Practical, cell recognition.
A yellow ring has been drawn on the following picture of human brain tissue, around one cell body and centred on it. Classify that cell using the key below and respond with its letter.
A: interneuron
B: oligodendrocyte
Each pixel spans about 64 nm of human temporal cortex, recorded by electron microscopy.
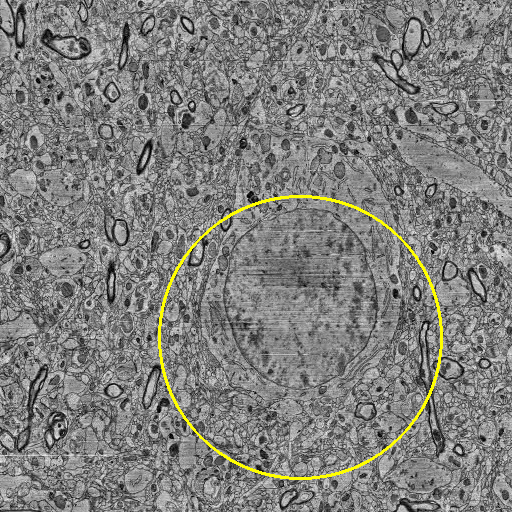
A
